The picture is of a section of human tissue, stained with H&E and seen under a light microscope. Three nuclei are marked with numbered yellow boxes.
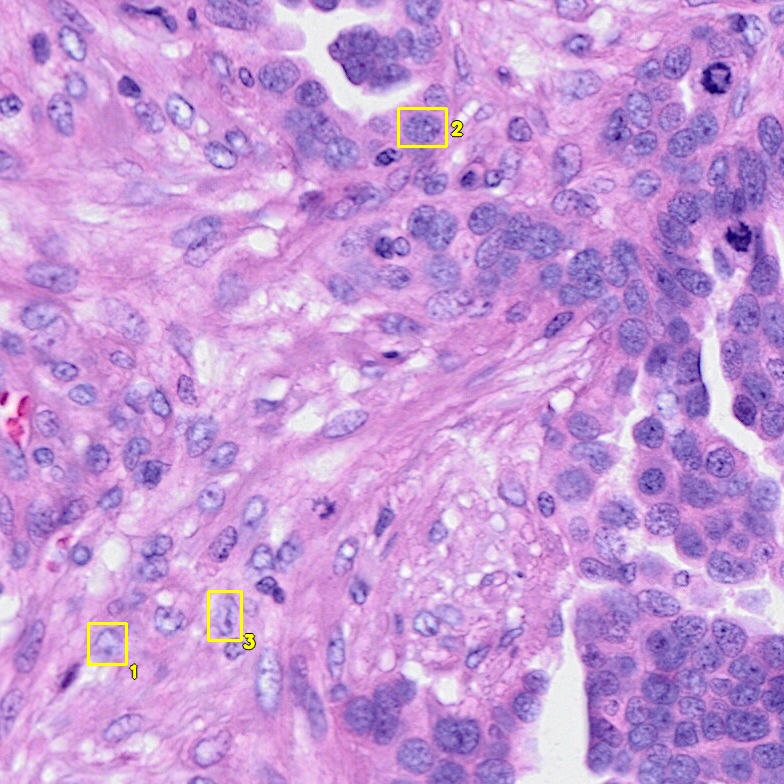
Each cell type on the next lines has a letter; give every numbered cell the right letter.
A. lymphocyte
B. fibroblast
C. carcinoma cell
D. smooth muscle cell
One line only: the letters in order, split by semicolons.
B; C; B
